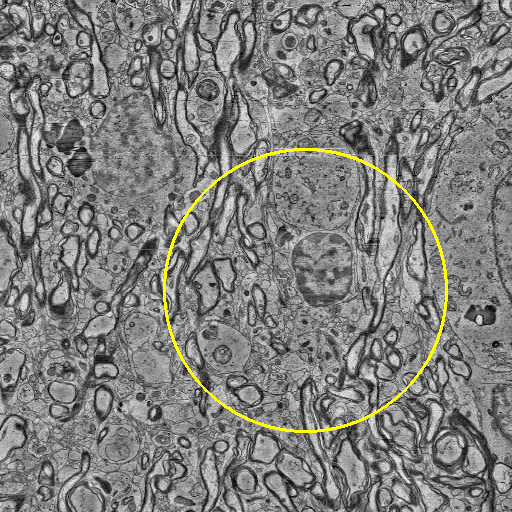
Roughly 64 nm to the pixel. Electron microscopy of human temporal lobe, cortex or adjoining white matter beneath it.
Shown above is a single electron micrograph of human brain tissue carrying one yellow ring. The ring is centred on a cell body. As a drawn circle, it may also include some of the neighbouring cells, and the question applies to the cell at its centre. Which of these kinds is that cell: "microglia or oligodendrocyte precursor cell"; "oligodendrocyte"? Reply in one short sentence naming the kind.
The cell marked by the ring is a microglial cell or oligodendrocyte precursor cell.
